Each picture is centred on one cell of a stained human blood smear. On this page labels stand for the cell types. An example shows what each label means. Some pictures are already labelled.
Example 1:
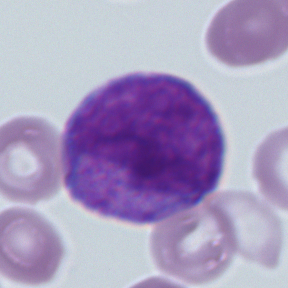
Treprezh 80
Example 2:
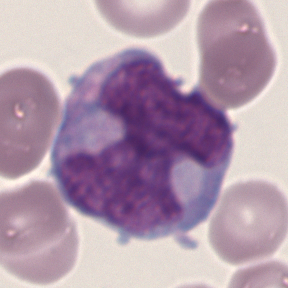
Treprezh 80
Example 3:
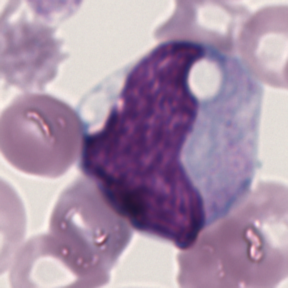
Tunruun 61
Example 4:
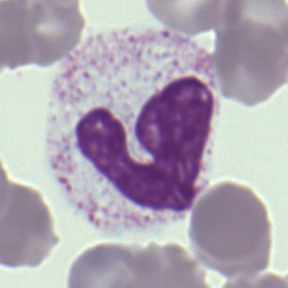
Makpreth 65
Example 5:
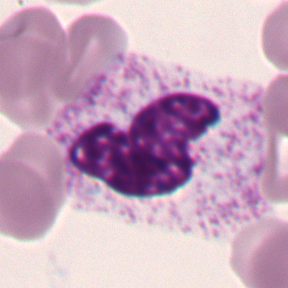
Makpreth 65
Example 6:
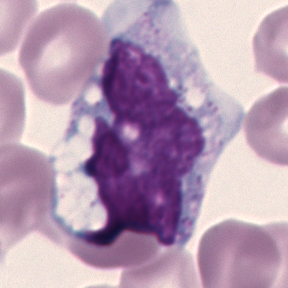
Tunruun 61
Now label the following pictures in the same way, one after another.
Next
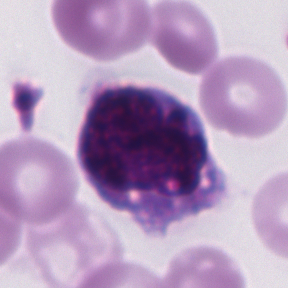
Tunruun 61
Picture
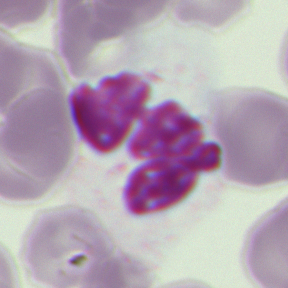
Makpreth 65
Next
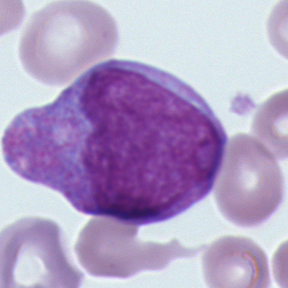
Treprezh 80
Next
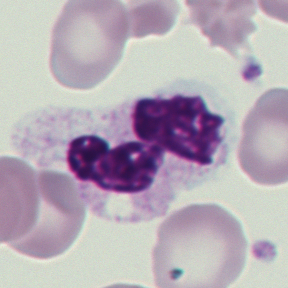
Makpreth 65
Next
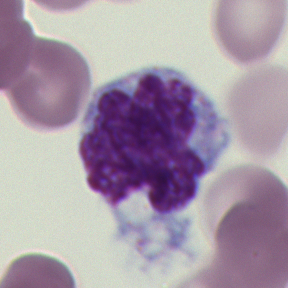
Tunruun 61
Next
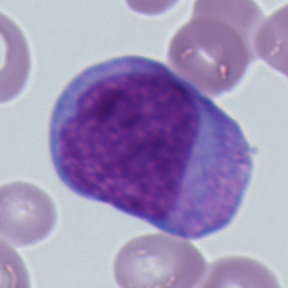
Treprezh 80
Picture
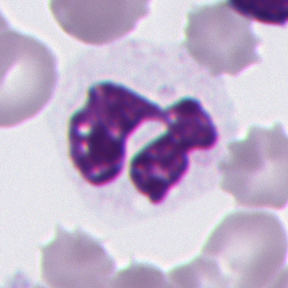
Makpreth 65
